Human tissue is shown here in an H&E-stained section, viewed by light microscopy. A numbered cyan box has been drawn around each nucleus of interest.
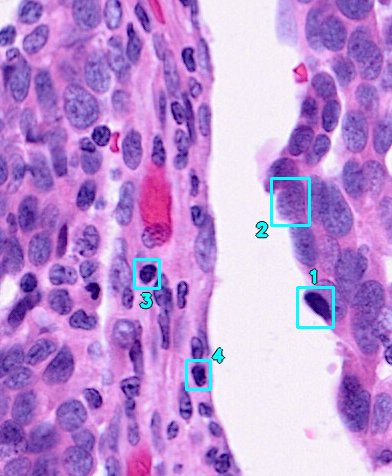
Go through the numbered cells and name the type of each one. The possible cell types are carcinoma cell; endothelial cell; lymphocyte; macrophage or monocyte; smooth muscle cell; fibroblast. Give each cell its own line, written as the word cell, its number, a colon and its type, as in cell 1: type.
cell 1: carcinoma cell
cell 2: carcinoma cell
cell 3: lymphocyte
cell 4: lymphocyte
